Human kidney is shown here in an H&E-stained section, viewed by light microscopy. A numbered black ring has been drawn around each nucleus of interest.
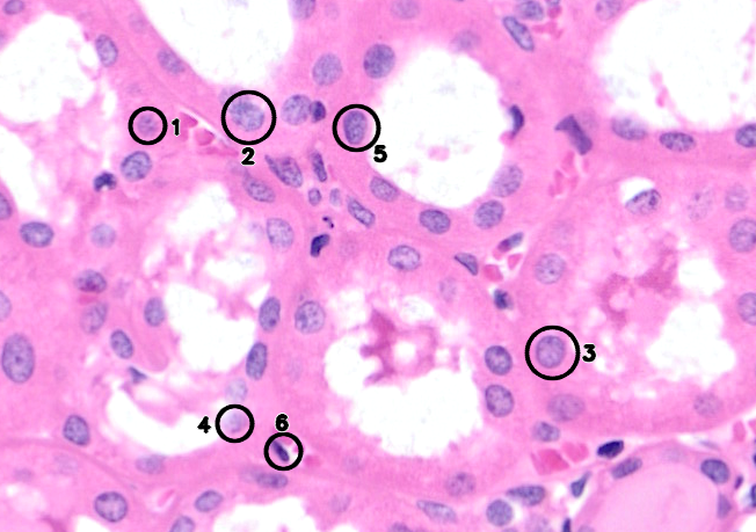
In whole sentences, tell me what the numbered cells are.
Cell 1 is a loop of Henle or distal tubule cell, cell 2 is a loop of Henle or distal tubule cell, cell 3 is a proximal tubule cell, cell 4 is a loop of Henle or distal tubule cell, cell 5 is a loop of Henle or distal tubule cell and cell 6 is an endothelial cell.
